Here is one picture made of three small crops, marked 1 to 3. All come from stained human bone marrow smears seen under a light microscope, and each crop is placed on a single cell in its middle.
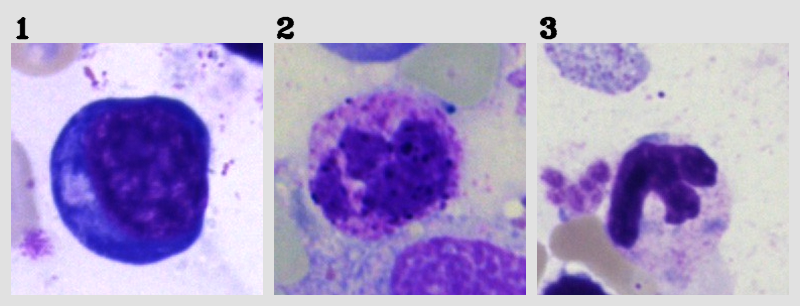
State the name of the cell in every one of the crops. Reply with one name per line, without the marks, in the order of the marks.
proerythroblast
basophil
segmented neutrophil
